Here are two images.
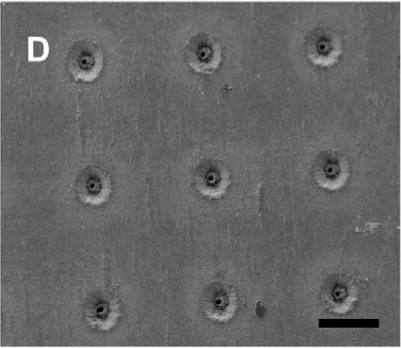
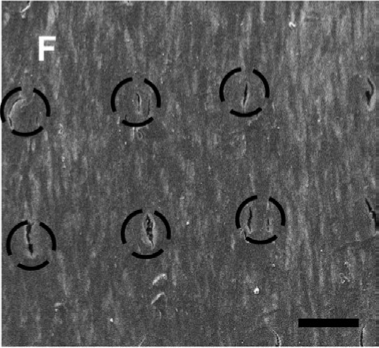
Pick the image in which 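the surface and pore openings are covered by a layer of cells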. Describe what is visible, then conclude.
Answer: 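Second image: a streaky continuous layer covers the surface, leaving only slit-like openings at the pores. First image: a smooth bare surface with open round pores in a regular grid.
Answer: the second image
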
